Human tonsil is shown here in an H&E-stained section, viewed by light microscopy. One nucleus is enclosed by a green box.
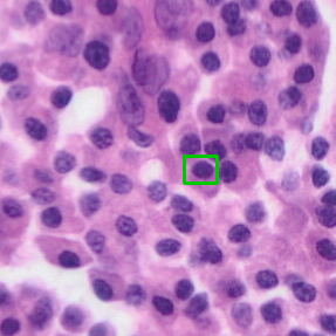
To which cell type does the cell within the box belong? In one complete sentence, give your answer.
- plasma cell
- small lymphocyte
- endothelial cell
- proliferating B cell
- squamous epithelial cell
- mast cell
In this tissue section, the cell within the box is to be classed as a plasma cell.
